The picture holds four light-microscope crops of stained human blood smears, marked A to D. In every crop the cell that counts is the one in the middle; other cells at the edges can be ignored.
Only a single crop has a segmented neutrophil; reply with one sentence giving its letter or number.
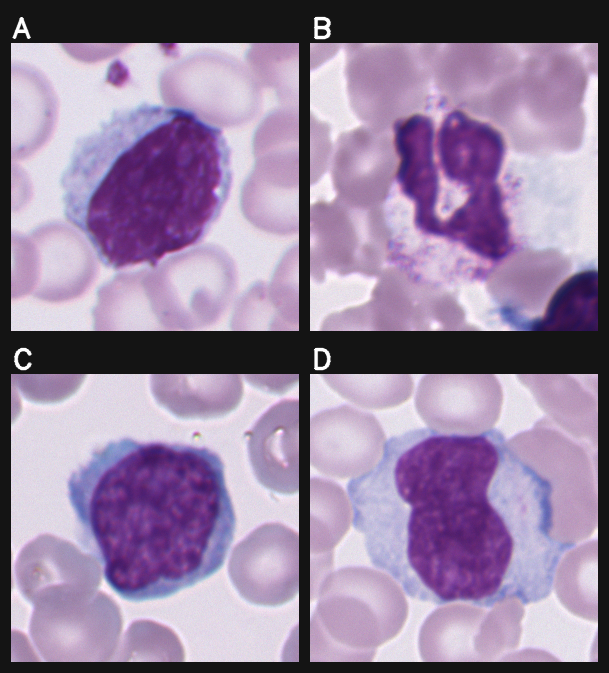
Crop B is identified as the crop showing a segmented neutrophil.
